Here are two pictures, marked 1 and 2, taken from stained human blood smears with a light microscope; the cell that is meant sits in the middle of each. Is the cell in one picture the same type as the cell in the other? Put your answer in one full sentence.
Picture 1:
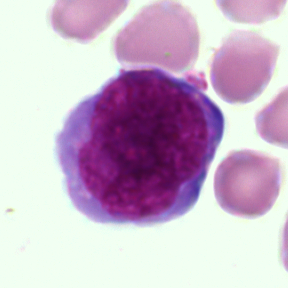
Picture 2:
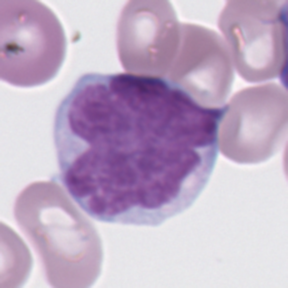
Yes, both are atypical promyelocytes.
